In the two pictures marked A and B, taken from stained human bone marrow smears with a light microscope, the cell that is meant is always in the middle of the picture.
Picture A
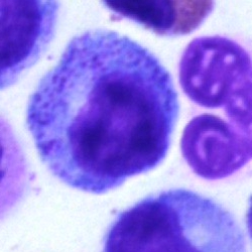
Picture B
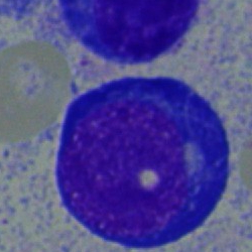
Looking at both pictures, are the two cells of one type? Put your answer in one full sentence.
No; the cell in picture A is a promyelocyte, while the one in picture B is a proerythroblast.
